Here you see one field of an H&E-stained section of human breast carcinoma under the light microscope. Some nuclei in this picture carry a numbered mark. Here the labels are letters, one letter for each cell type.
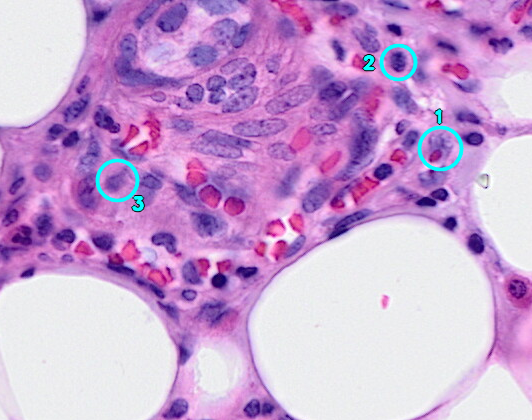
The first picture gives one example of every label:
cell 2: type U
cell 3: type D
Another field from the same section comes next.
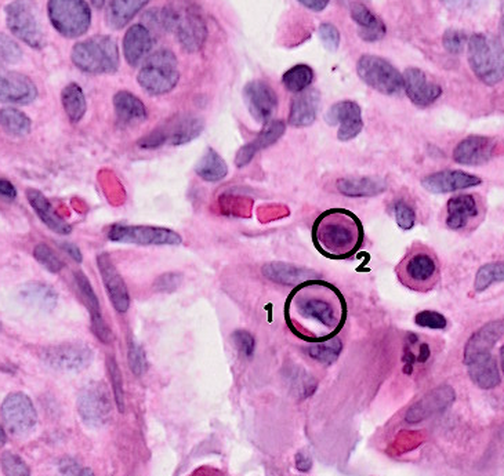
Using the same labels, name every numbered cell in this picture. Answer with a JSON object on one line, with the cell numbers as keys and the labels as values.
{"1": "type D", "2": "type U"}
